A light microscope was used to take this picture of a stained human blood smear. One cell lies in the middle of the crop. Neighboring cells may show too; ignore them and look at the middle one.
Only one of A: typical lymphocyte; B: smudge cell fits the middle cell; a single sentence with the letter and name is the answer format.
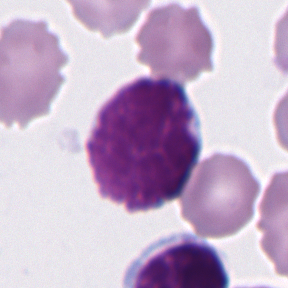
The cell occupying the centre is a smudge cell; option B is thus the correct choice.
